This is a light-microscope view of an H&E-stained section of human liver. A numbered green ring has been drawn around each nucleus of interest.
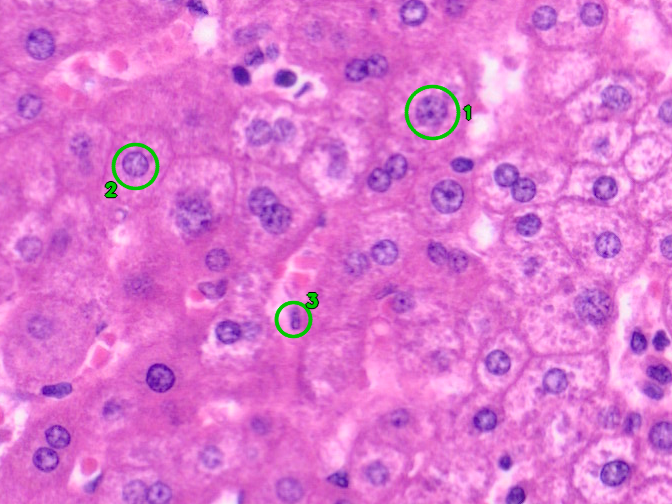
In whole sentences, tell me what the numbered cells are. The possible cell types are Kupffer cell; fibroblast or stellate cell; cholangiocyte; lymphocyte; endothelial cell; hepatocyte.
Cells 1 and 2 are hepatocytes. Cell 3 is an endothelial cell.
